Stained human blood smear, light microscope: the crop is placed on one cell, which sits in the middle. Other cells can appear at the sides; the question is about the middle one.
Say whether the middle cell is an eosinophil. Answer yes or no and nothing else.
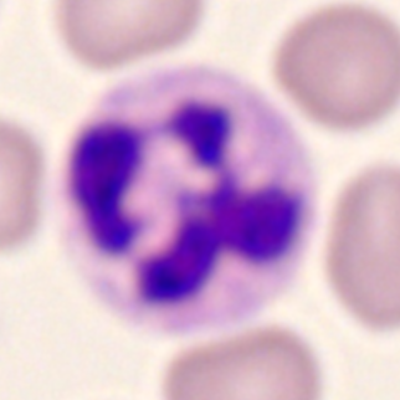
no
